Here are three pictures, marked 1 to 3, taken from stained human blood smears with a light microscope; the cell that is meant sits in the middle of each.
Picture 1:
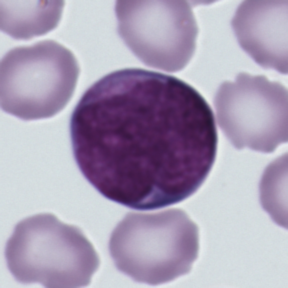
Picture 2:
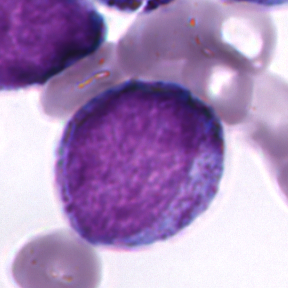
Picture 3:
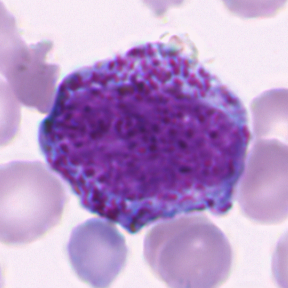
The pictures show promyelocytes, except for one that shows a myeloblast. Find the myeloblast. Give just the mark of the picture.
1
